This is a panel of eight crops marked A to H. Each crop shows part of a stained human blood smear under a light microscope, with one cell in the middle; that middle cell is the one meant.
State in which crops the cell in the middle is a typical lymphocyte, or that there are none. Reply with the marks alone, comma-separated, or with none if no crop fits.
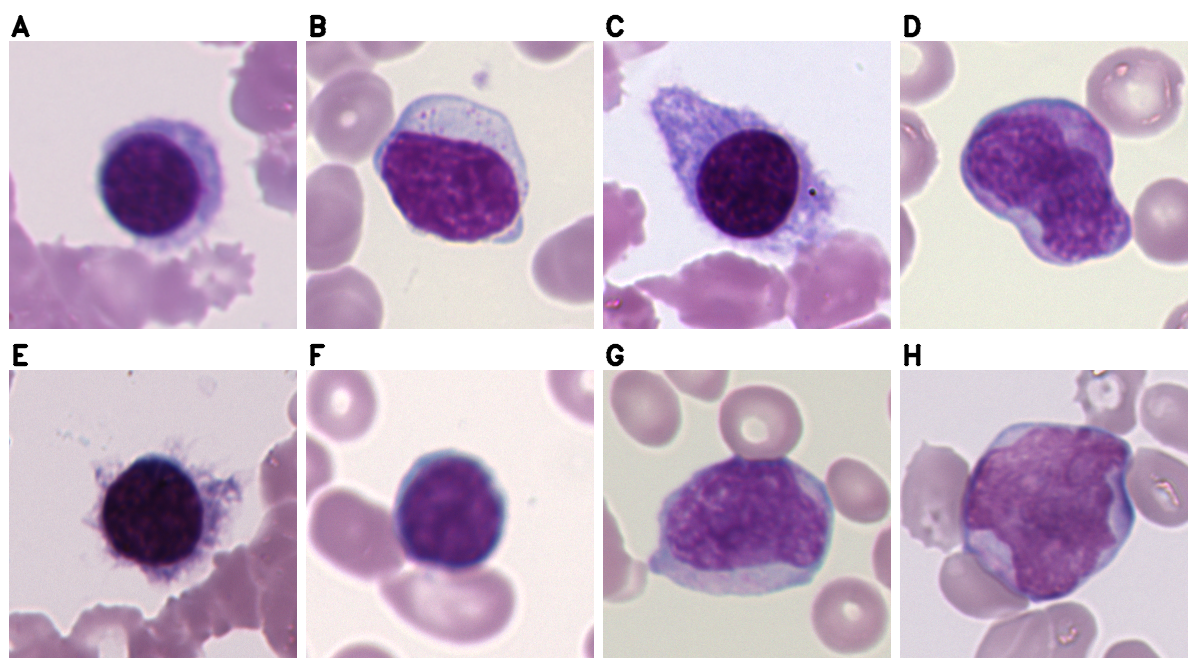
F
